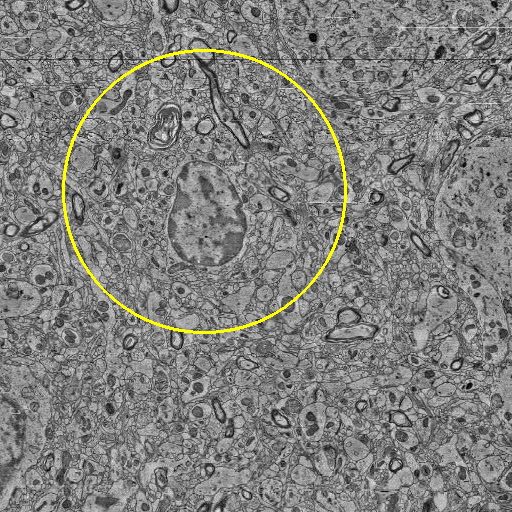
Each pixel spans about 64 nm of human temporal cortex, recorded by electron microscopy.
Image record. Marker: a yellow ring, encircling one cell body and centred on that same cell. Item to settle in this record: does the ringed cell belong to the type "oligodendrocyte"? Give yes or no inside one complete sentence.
No, in the picture, the cell centred within the yellow ring is of a different type.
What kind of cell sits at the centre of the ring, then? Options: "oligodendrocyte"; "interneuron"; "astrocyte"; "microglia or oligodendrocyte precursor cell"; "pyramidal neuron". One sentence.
The cell in question here is a microglial cell or oligodendrocyte precursor cell.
